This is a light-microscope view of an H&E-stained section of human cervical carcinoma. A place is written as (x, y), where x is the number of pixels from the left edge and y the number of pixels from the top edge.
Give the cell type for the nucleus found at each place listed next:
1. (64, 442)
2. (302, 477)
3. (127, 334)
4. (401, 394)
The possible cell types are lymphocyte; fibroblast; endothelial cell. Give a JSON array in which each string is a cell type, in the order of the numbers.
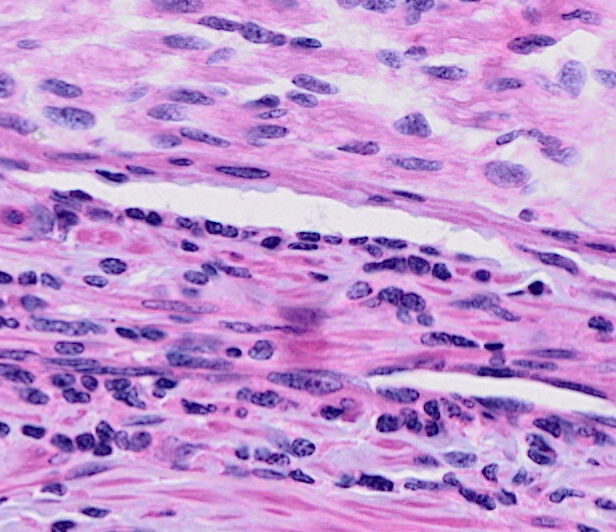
["lymphocyte", "lymphocyte", "lymphocyte", "endothelial cell"]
